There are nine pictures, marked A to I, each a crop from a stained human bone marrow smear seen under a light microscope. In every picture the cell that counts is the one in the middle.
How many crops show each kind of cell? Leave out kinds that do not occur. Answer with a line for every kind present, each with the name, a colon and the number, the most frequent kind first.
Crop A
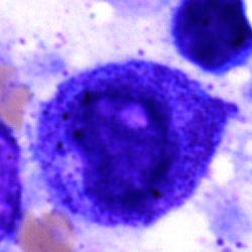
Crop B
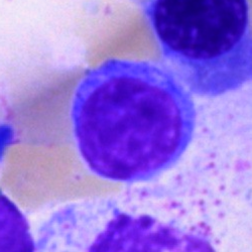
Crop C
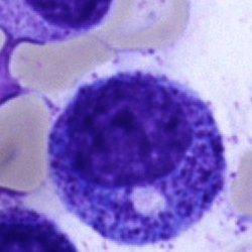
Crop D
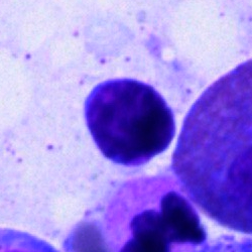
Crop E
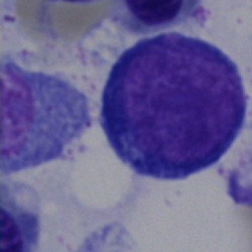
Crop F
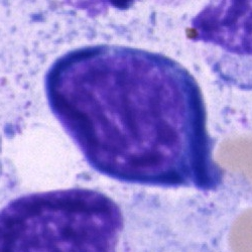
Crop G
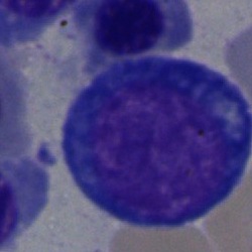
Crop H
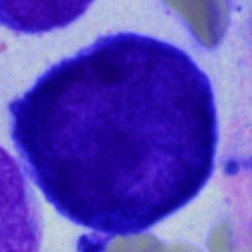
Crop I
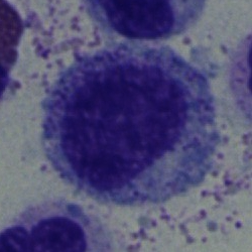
proerythroblast: 4
promyelocyte: 3
lymphocyte: 2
